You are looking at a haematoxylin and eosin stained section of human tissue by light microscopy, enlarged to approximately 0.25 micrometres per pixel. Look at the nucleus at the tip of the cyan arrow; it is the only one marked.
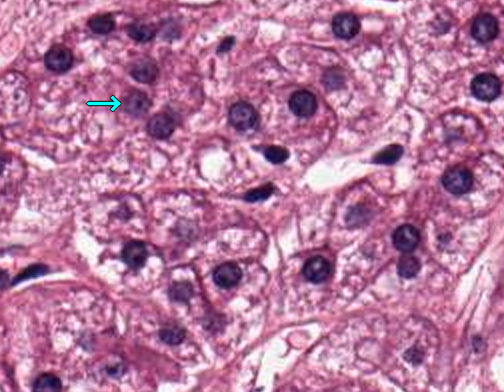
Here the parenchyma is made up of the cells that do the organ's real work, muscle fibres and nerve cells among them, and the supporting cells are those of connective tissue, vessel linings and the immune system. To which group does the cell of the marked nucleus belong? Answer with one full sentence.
In this field the marked nucleus is the nucleus of an adrenal cortical cell, a parenchymal cell.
